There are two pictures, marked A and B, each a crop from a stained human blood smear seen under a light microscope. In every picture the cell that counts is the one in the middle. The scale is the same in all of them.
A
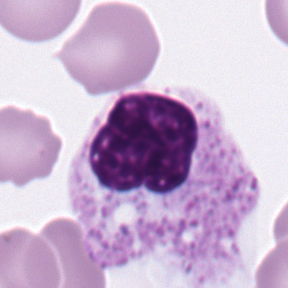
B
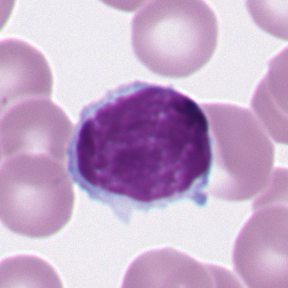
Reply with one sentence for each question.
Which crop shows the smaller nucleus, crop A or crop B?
It is the nucleus in crop A; the one in crop B has about 1.5 times its area.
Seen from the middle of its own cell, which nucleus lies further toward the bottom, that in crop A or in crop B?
It is the nucleus in crop B that lies further toward the bottom of its cell.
